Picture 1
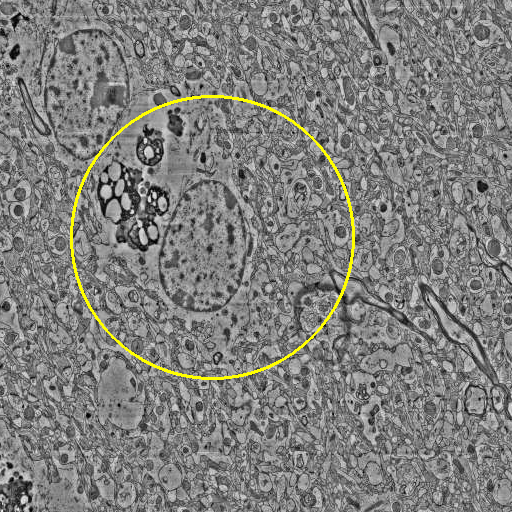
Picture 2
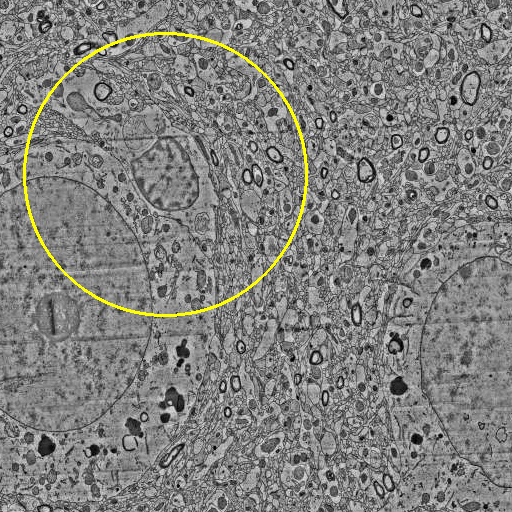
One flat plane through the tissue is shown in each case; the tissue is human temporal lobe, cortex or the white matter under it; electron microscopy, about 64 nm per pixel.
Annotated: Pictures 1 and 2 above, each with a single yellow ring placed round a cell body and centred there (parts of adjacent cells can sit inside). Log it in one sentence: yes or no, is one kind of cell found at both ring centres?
Yes, the ring centres of the two pictures hold cells of one kind.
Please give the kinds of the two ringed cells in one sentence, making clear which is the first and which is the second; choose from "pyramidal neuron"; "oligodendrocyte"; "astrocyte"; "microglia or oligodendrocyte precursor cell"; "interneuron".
Each cell, in the first picture and the second, is an astrocyte.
